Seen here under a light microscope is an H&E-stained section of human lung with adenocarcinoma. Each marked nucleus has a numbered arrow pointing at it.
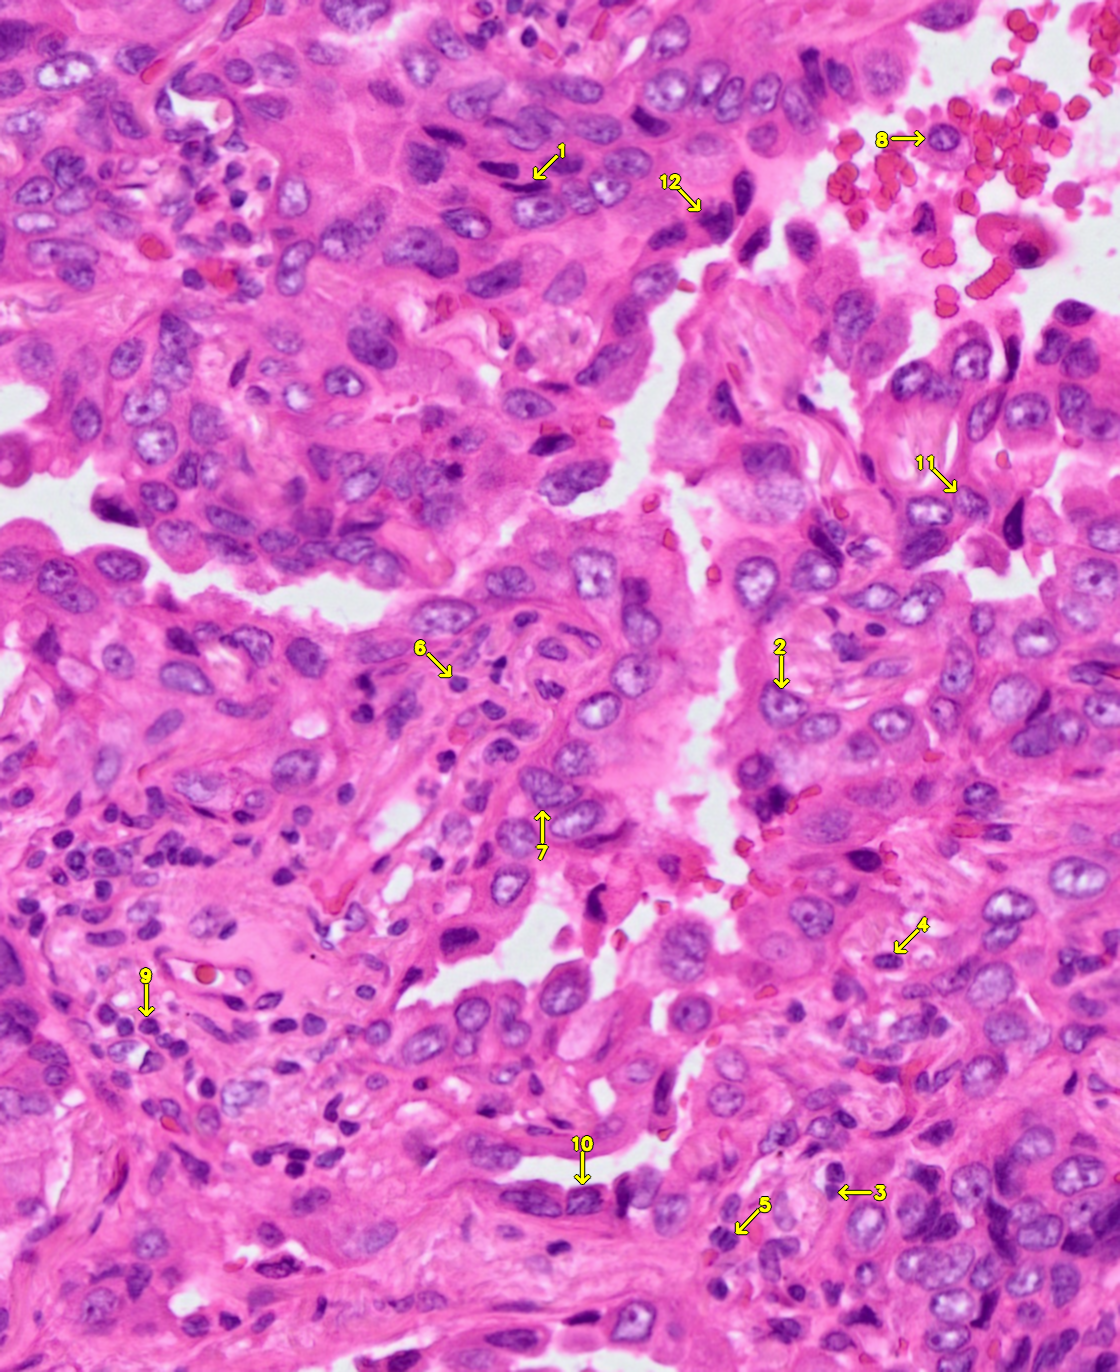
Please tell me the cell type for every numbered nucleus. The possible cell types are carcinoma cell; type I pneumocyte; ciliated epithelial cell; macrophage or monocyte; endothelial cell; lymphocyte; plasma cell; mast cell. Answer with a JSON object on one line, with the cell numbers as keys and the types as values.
{"1": "carcinoma cell", "2": "carcinoma cell", "3": "lymphocyte", "4": "mast cell", "5": "lymphocyte", "6": "lymphocyte", "7": "carcinoma cell", "8": "macrophage or monocyte", "9": "lymphocyte", "10": "carcinoma cell", "11": "carcinoma cell", "12": "carcinoma cell"}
